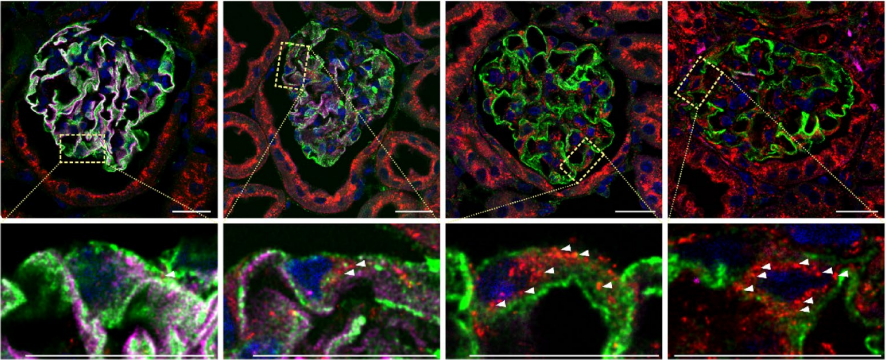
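In the upper row each glomerulus is a round tuft of winding capillary loops lined by green, in the first image overlapping with magenta so the loops look whitish. Blue nuclei are scattered through the tuft, and the surrounding tubules show a granular red cytoplasm. The enlargements below show single podocyte cell bodies sitting on the green-lined loops. Small red dots, picked out by white arrowheads, lie in the cytoplasm around the nuclei, and they are more numerous in some of the enlargements than in others.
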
